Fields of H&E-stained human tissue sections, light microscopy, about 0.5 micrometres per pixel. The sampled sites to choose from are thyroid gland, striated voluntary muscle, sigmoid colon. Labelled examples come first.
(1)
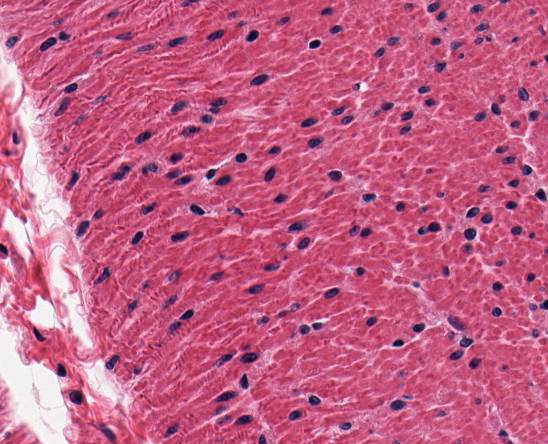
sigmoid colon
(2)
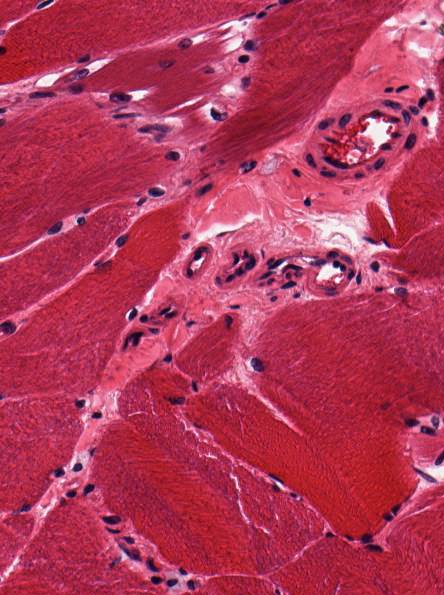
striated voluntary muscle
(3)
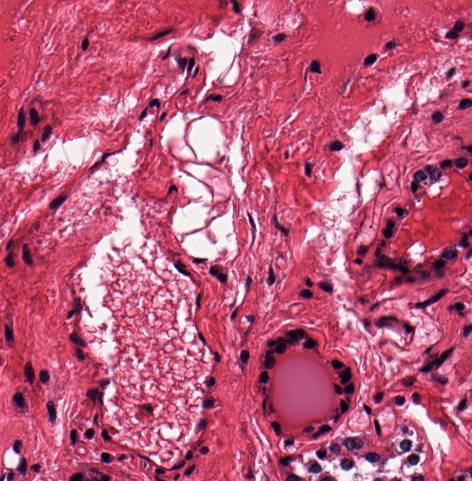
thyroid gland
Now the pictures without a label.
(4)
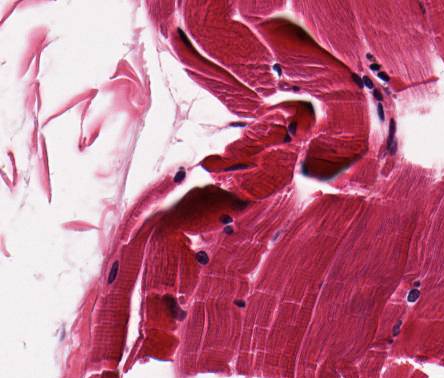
striated voluntary muscle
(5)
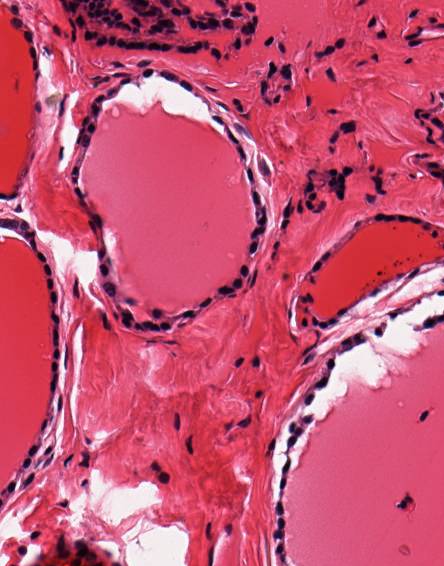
thyroid gland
